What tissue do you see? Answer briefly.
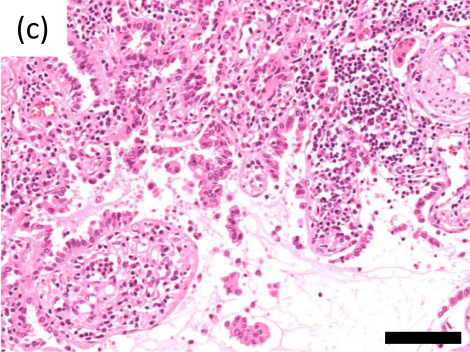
papillary adenocarcinoma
